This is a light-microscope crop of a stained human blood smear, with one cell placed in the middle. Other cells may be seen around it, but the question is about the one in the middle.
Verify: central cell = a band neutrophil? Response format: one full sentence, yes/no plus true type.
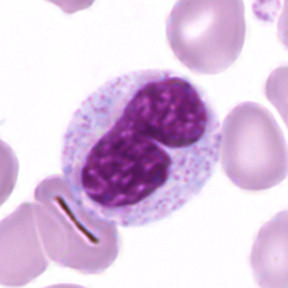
Yes, the cell in the middle is recognised as a band neutrophil.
